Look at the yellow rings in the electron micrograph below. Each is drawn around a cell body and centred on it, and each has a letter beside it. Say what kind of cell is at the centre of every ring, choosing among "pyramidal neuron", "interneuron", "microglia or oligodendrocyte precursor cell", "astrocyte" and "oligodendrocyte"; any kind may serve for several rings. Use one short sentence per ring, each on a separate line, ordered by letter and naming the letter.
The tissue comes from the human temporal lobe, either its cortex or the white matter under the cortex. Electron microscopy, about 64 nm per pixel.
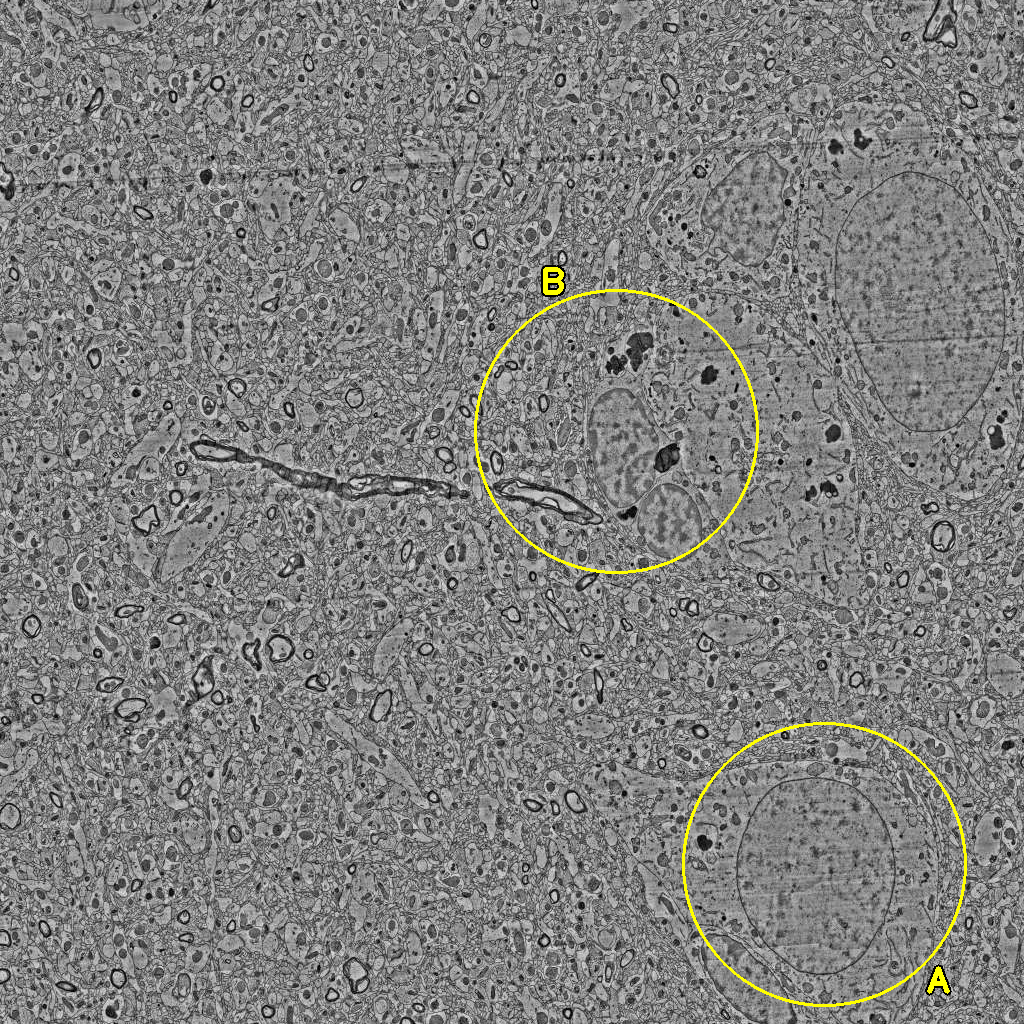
Ring A encircles a pyramidal neuron.
Ring B encircles an oligodendrocyte.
